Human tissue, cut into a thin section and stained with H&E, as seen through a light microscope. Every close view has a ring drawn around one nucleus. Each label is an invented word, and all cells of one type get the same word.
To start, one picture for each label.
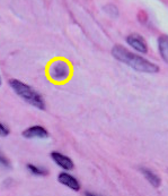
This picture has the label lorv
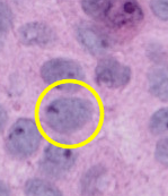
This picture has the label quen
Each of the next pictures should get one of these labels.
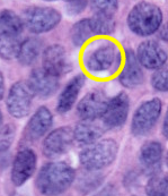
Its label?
quen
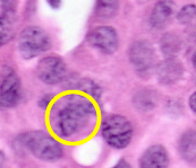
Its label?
quen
